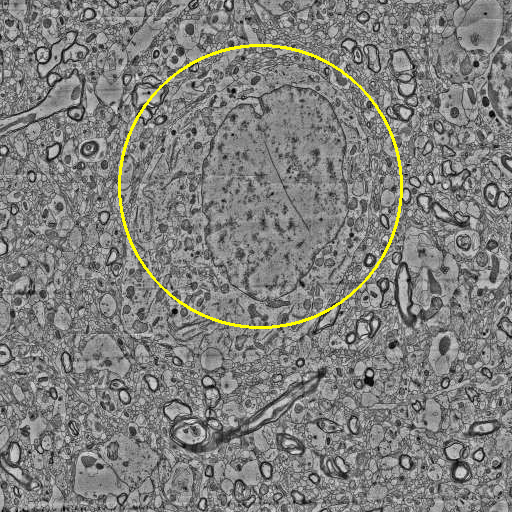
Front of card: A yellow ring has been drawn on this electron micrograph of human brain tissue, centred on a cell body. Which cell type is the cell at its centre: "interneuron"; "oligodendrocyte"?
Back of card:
interneuron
